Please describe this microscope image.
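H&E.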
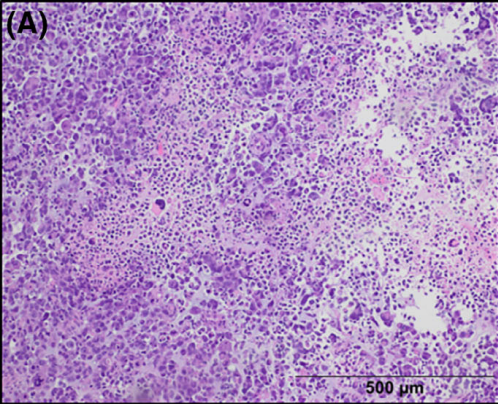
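At low power the tumor forms crowded sheets of cells with dark, variably sized nuclei. Pale pink areas with scattered small dark debris lie among the cellular sheets.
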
